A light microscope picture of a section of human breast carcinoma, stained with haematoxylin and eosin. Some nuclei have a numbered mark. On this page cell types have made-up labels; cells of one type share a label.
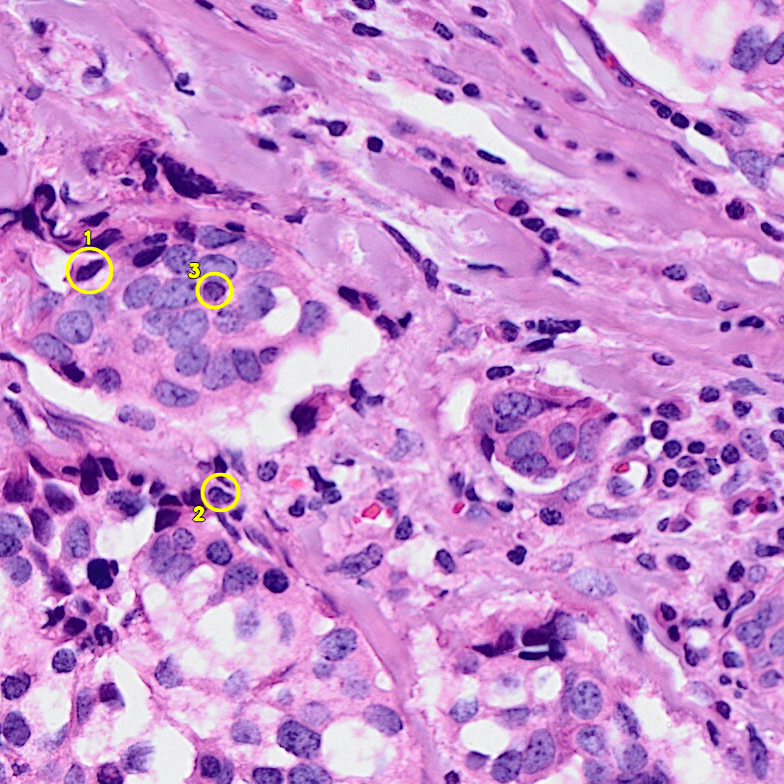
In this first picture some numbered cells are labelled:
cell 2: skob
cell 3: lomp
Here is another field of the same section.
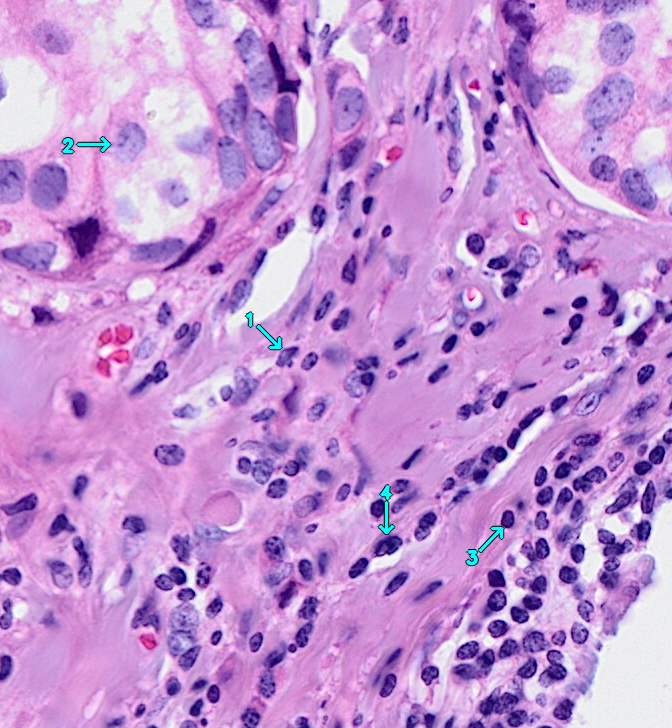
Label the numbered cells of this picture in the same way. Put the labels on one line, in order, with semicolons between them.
skob; lomp; skob; skob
